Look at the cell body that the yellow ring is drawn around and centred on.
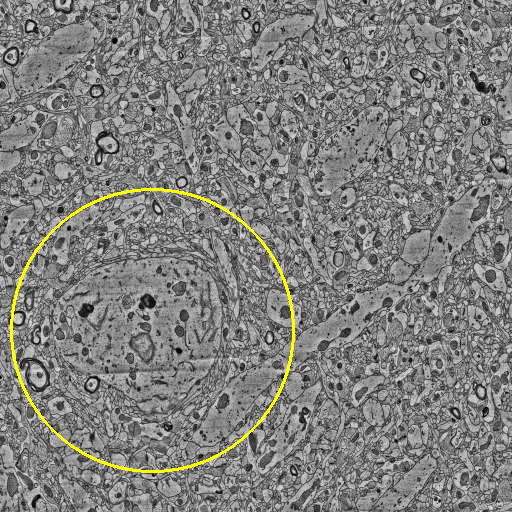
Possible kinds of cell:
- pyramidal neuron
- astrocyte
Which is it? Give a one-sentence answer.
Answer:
The centred cell body is that of a pyramidal neuron.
